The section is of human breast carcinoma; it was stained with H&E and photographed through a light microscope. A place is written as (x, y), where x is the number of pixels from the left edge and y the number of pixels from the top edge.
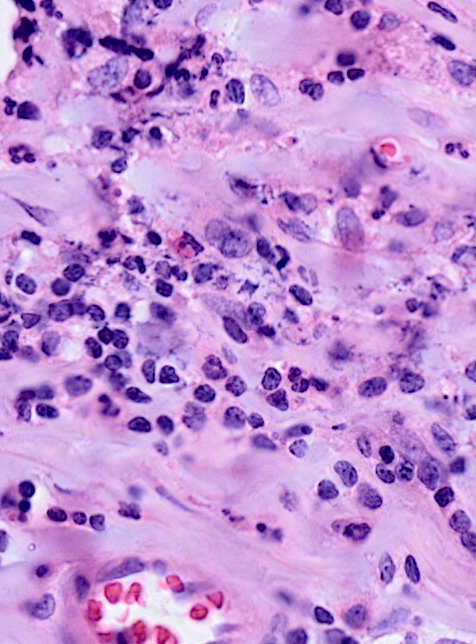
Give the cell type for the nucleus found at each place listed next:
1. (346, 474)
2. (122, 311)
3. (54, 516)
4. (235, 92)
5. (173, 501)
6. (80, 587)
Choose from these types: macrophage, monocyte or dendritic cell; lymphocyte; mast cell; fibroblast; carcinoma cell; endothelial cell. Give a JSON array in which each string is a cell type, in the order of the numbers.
["lymphocyte", "lymphocyte", "lymphocyte", "lymphocyte", "fibroblast", "endothelial cell"]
